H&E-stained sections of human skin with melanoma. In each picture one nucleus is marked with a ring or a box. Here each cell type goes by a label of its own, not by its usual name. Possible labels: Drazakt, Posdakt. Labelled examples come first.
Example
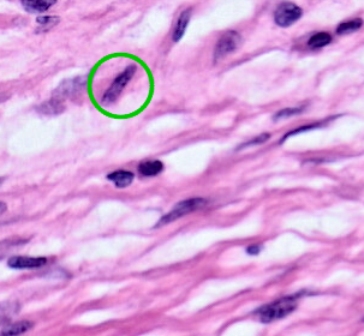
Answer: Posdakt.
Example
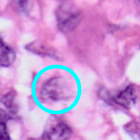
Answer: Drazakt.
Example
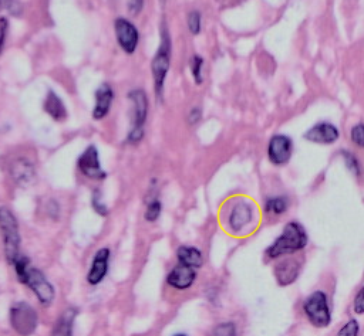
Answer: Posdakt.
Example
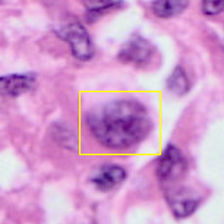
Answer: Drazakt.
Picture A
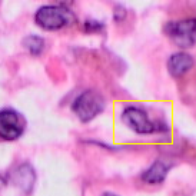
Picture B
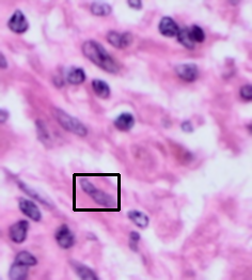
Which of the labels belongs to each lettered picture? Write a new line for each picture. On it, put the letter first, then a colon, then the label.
A: Posdakt.
B: Posdakt.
